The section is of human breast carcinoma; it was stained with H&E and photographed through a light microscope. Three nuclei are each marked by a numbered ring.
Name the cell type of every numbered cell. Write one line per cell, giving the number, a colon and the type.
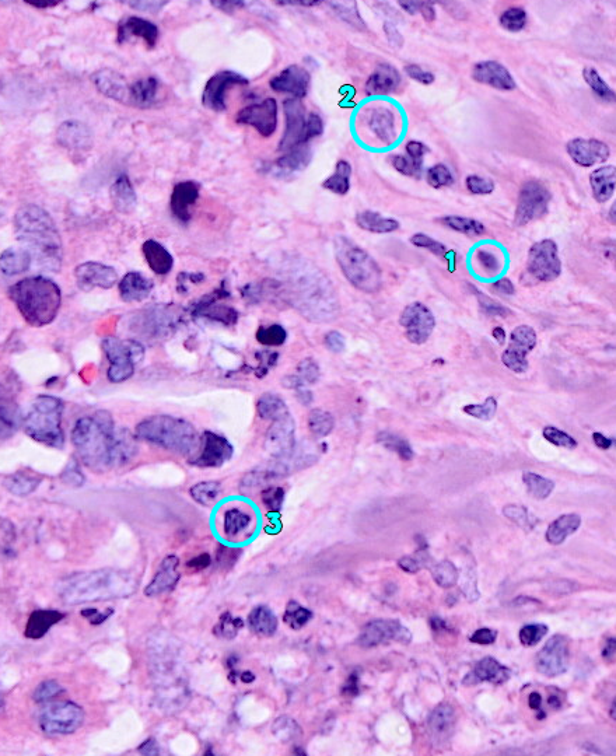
1: lymphocyte
2: macrophage, monocyte or dendritic cell
3: lymphocyte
